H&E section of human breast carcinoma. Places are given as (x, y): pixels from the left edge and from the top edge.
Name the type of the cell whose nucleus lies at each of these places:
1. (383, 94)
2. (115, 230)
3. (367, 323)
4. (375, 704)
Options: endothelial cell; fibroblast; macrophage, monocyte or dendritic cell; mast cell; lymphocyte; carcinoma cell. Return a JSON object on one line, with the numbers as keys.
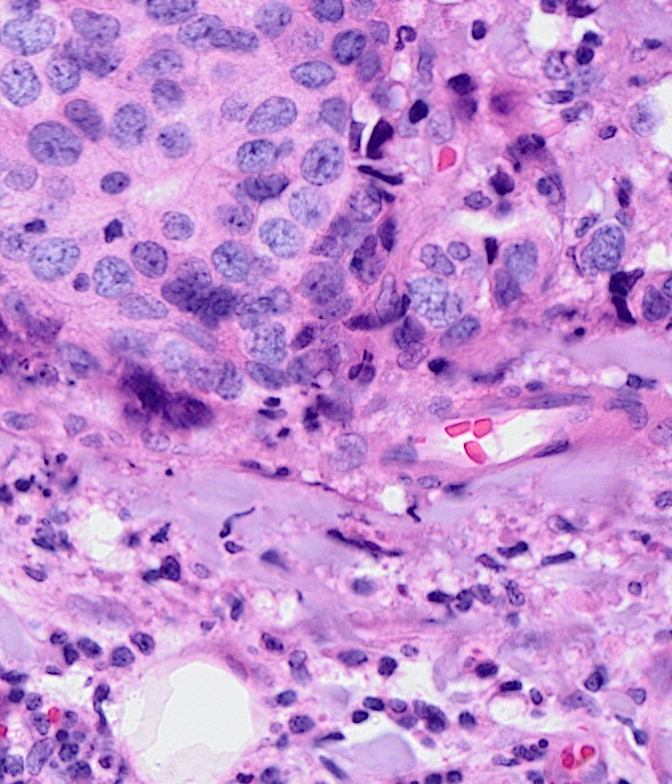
{"1": "carcinoma cell", "2": "lymphocyte", "3": "carcinoma cell", "4": "lymphocyte"}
